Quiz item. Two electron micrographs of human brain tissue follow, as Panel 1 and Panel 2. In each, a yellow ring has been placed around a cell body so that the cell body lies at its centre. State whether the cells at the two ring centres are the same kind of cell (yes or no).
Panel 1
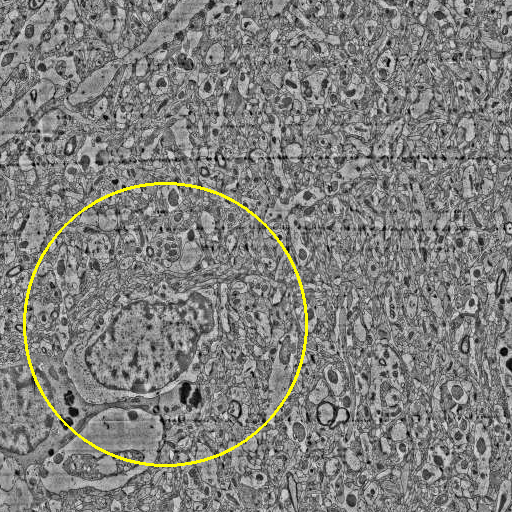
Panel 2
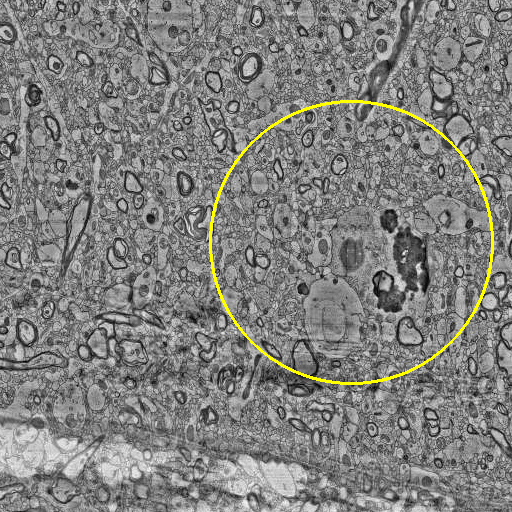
no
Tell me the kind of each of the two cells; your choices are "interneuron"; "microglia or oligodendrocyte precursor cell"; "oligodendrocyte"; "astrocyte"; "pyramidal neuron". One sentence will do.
The ringed cell is a microglial cell or oligodendrocyte precursor cell in the first picture and an oligodendrocyte in the second picture.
